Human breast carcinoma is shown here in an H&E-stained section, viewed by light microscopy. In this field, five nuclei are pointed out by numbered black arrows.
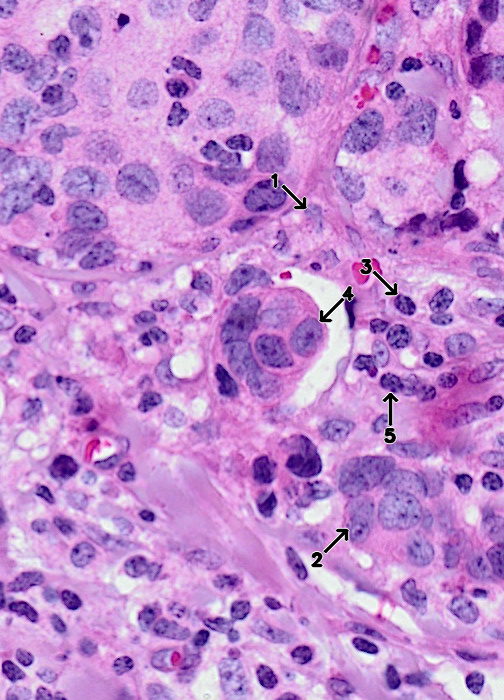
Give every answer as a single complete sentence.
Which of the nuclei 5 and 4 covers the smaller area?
Nucleus 5 is the smaller one; nucleus 4 covers about 2 times its area.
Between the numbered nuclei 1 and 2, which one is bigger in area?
Nucleus 2 covers more area, about 2.5 times as much as nucleus 1.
